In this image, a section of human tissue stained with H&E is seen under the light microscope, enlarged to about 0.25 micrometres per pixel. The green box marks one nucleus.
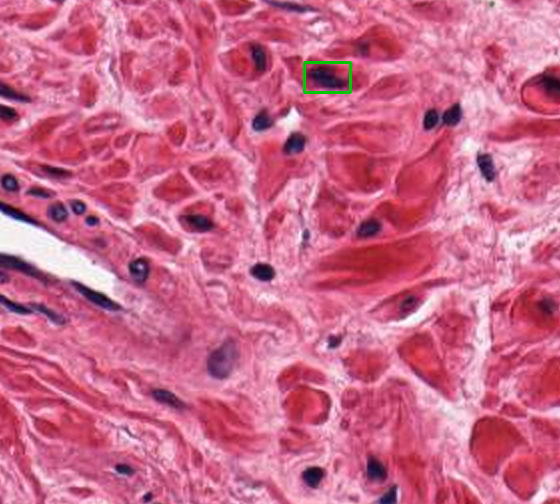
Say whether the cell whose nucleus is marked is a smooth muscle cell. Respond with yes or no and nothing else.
yes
